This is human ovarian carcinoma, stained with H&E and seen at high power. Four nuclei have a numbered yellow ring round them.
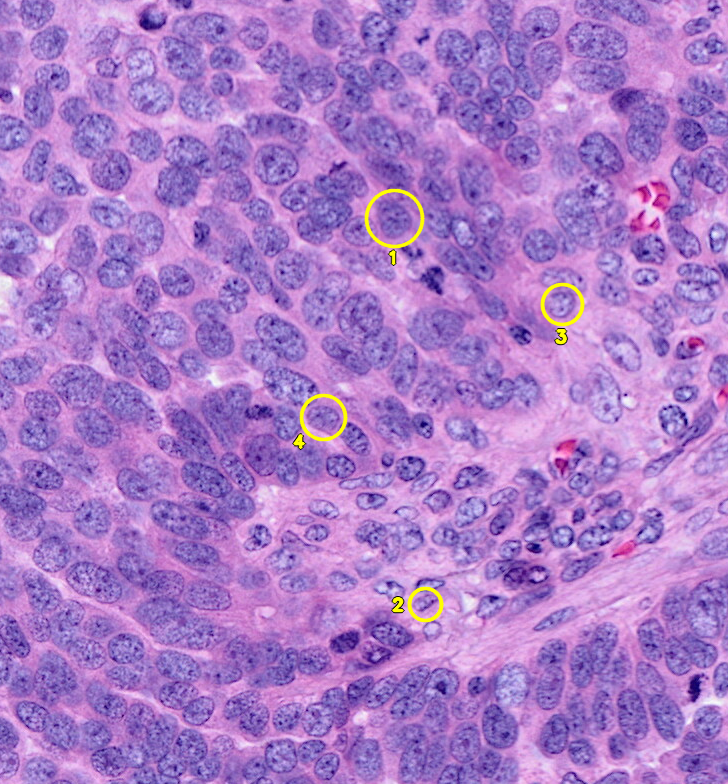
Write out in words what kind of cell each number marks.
Cell 1 is a carcinoma cell, cell 2 is a fibroblast, cell 3 is an endothelial cell and cell 4 is a carcinoma cell.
